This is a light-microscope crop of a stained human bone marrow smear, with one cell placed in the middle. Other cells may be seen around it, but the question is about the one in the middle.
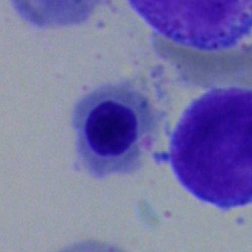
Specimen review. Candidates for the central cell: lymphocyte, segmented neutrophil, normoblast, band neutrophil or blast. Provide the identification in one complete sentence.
In this smear crop, the middle cell is a normoblast.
